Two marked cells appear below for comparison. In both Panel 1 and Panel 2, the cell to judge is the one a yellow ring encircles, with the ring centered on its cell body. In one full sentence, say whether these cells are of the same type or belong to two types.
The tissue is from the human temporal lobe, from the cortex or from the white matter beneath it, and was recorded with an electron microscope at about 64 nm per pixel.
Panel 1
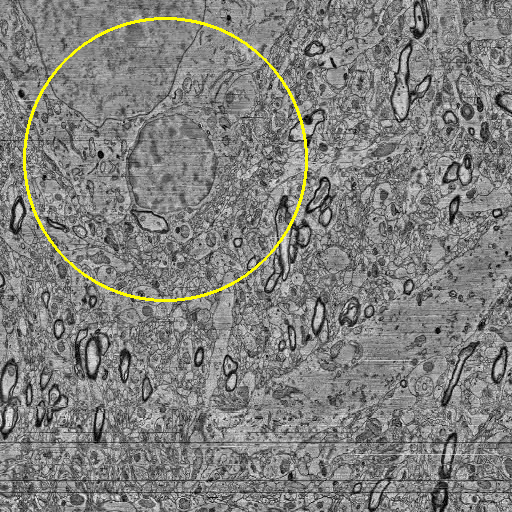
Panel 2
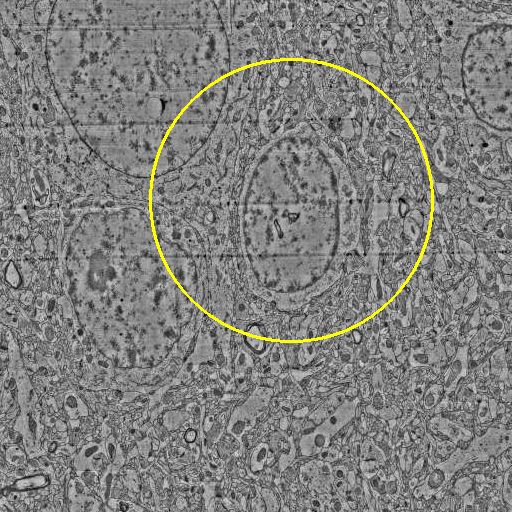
The cell centered in the Panel 1 ring and the one in Panel 2 belong to two types.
